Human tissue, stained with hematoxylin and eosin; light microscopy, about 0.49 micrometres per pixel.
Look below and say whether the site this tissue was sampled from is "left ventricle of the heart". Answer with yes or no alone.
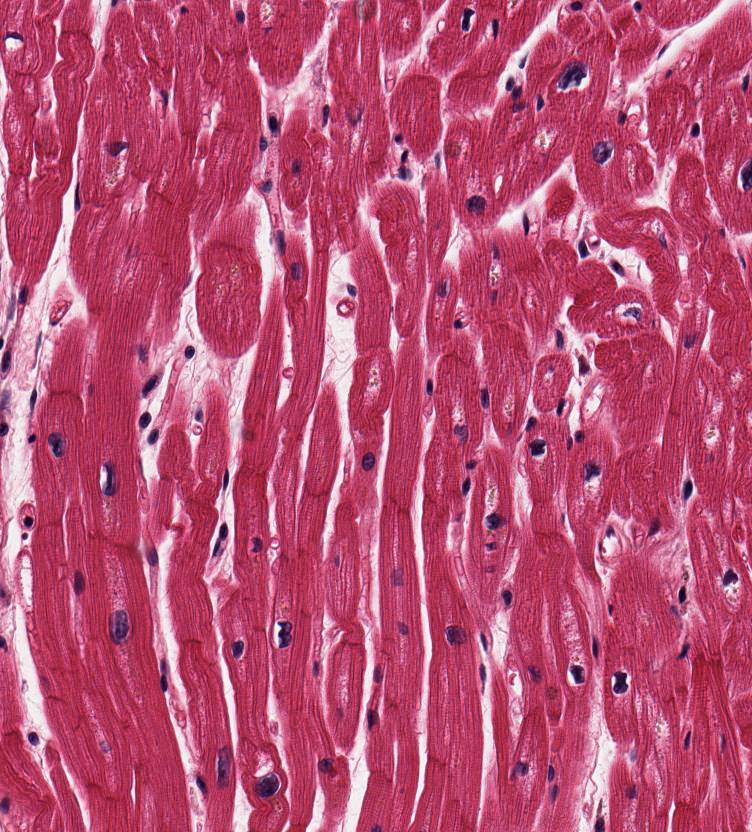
yes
